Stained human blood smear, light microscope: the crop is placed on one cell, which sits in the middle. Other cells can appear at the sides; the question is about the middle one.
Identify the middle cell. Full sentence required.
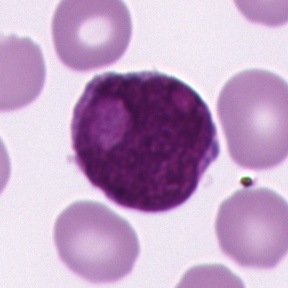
In the middle of this smear crop is a blast.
